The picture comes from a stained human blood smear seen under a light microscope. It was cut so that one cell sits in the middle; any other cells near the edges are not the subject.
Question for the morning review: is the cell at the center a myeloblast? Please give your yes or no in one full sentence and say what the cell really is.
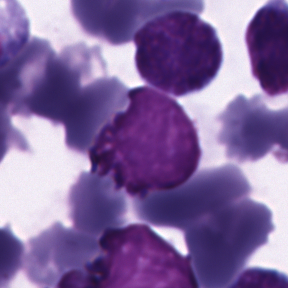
Yes, the cell found in the middle is a myeloblast.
